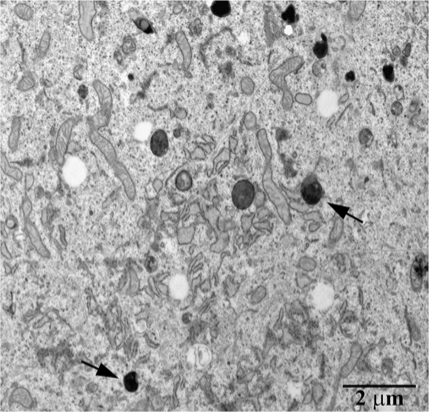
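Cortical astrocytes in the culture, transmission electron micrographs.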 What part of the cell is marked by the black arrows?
Lysosomes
